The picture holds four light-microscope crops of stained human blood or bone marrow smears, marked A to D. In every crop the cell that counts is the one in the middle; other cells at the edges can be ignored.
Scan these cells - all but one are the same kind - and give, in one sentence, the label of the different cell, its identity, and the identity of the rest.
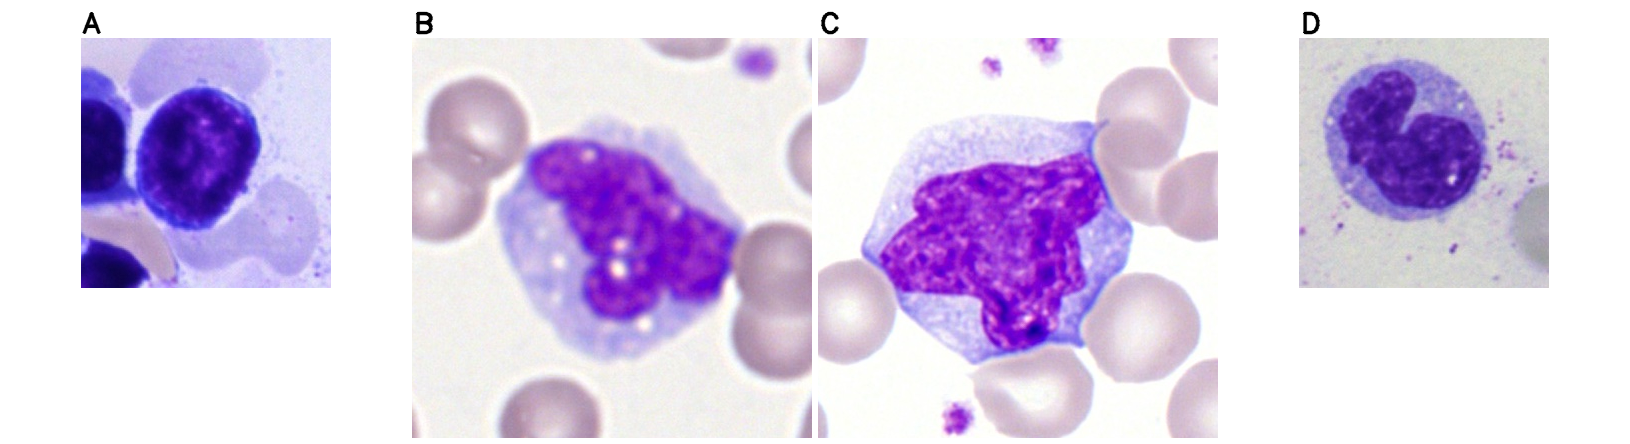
There is a lymphocyte in crop A, while all the other crops show monocytes.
